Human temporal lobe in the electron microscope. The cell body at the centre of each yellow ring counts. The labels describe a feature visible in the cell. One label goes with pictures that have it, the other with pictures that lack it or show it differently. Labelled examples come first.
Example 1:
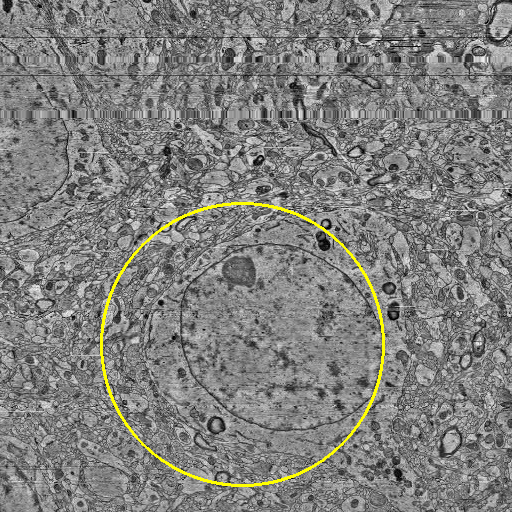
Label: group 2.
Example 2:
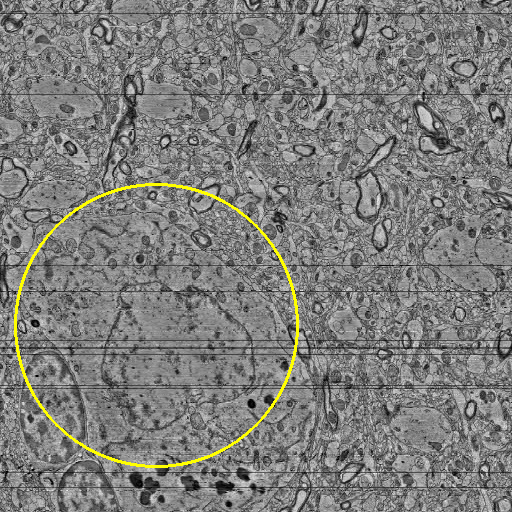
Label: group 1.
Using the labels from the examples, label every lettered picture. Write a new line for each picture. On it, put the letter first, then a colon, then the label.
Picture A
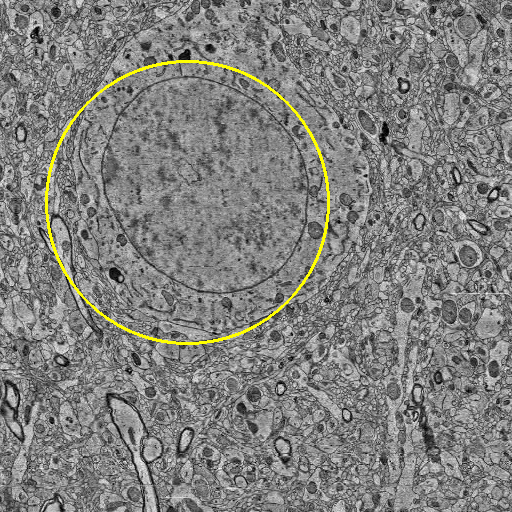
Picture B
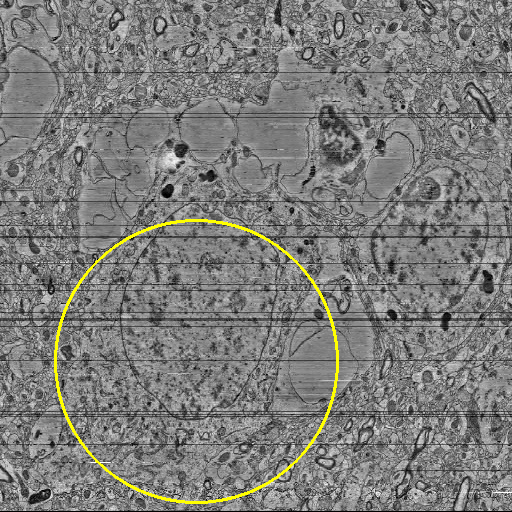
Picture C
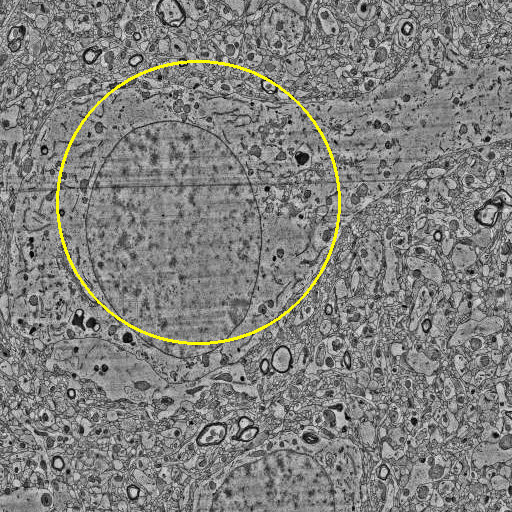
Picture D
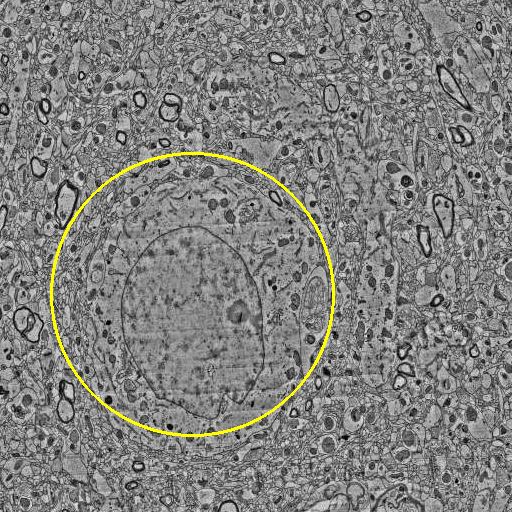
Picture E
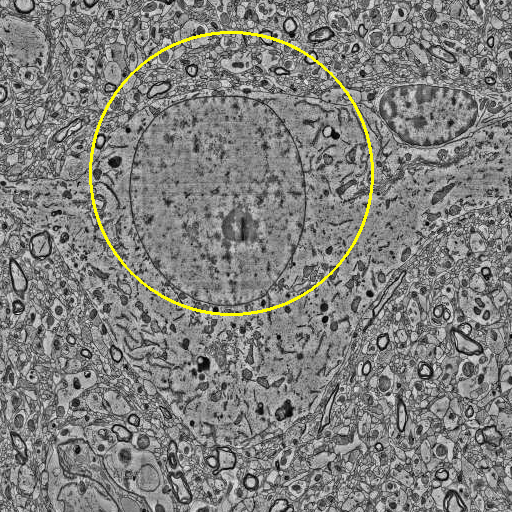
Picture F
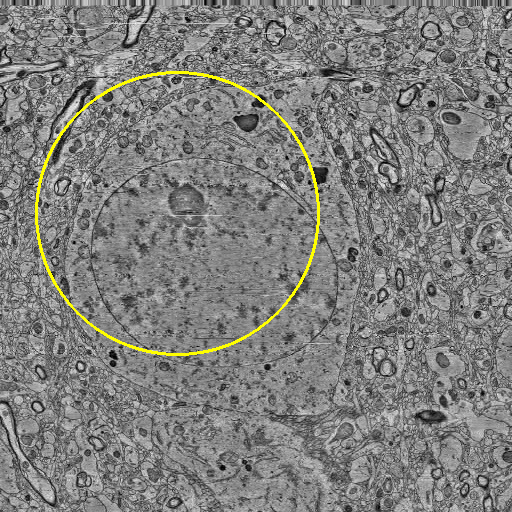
A: group 1.
B: group 1.
C: group 1.
D: group 2.
E: group 2.
F: group 2.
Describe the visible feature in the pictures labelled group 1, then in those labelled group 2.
In group 1: no nucleolus seen. In group 2: nucleolus seen.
